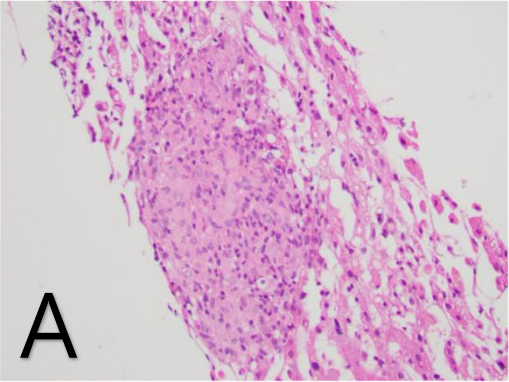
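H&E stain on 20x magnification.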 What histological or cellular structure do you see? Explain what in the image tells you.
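A compact oval aggregate of cells with pale pink cytoplasm stands out from the looser surrounding tissue. No central necrotic debris within the aggregate. Smaller dark round nuclei gather at its rim. The answer: non-necrotizing granuloma.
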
